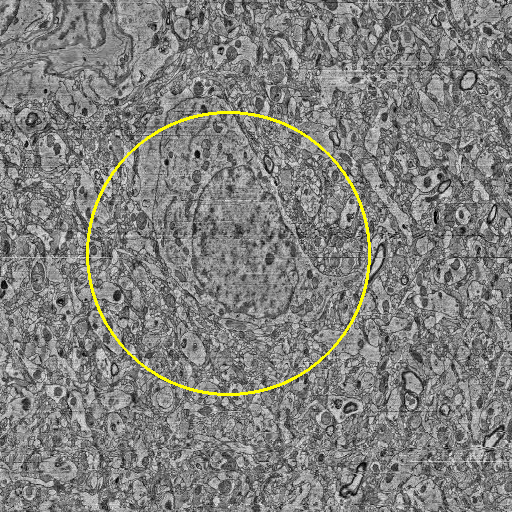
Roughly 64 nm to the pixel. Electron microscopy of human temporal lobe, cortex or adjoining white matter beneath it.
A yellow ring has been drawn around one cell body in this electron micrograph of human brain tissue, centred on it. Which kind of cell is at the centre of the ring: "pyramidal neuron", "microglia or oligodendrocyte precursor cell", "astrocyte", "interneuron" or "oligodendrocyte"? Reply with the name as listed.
interneuron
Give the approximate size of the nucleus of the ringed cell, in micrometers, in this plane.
The ringed cell's nucleus is roughly 10 by 7 micrometres and clearly longer than it is wide in this plane.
